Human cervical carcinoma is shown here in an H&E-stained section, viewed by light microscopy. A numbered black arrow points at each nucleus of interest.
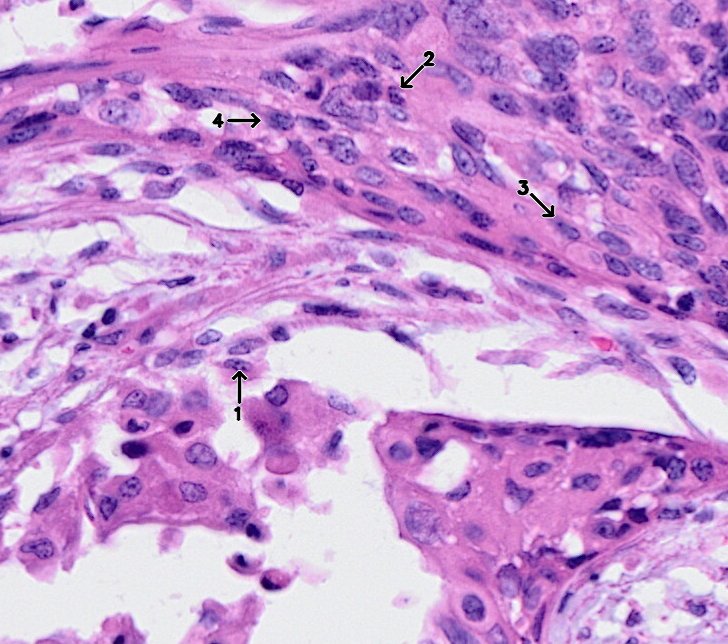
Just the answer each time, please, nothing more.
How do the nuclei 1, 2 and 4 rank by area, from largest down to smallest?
4, 1, 2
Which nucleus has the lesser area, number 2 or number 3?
2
